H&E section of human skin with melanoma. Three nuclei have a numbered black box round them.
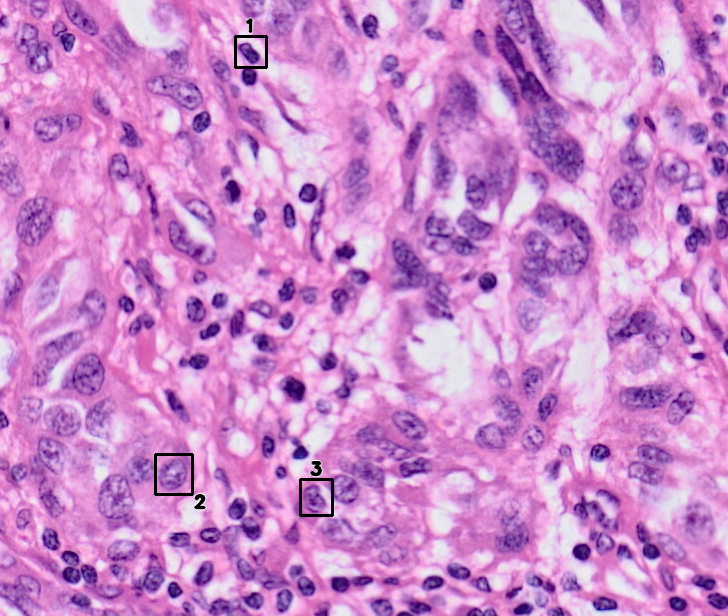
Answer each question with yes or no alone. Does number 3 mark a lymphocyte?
no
